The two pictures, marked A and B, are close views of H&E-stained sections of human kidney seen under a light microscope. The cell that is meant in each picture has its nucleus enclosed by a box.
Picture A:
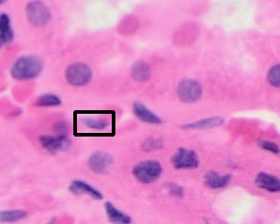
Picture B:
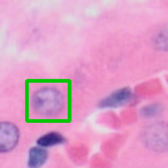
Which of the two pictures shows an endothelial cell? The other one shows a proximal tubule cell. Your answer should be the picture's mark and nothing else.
A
